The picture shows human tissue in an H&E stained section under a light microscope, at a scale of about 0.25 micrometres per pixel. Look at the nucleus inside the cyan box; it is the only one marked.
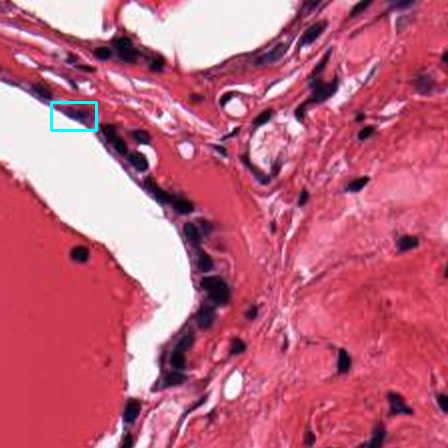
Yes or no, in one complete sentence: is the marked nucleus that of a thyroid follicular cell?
Yes, the marked nucleus is one belonging to a thyroid follicular cell.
